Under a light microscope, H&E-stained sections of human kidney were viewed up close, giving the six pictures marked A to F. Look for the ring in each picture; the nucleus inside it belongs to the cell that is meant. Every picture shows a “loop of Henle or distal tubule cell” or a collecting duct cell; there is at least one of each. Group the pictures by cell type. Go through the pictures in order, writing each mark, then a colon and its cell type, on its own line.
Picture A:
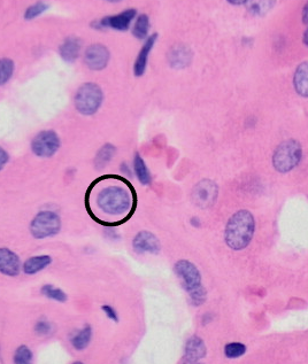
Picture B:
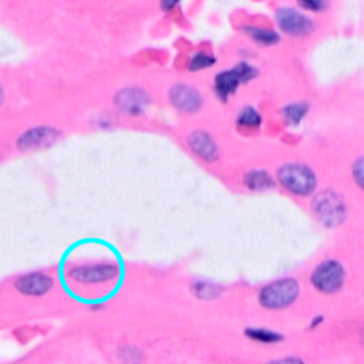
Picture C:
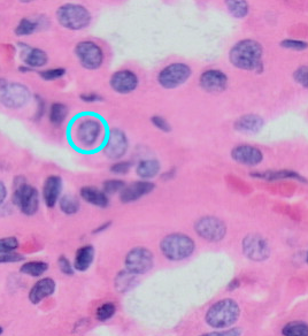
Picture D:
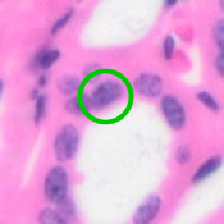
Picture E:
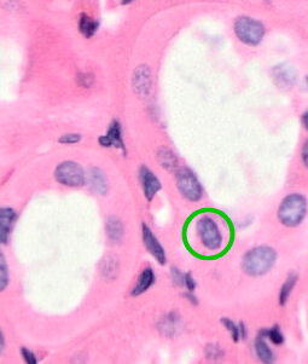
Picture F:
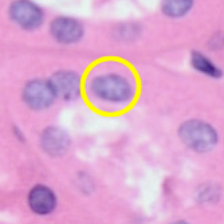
A: collecting duct cell
B: loop of Henle or distal tubule cell
C: collecting duct cell
D: collecting duct cell
E: loop of Henle or distal tubule cell
F: loop of Henle or distal tubule cell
